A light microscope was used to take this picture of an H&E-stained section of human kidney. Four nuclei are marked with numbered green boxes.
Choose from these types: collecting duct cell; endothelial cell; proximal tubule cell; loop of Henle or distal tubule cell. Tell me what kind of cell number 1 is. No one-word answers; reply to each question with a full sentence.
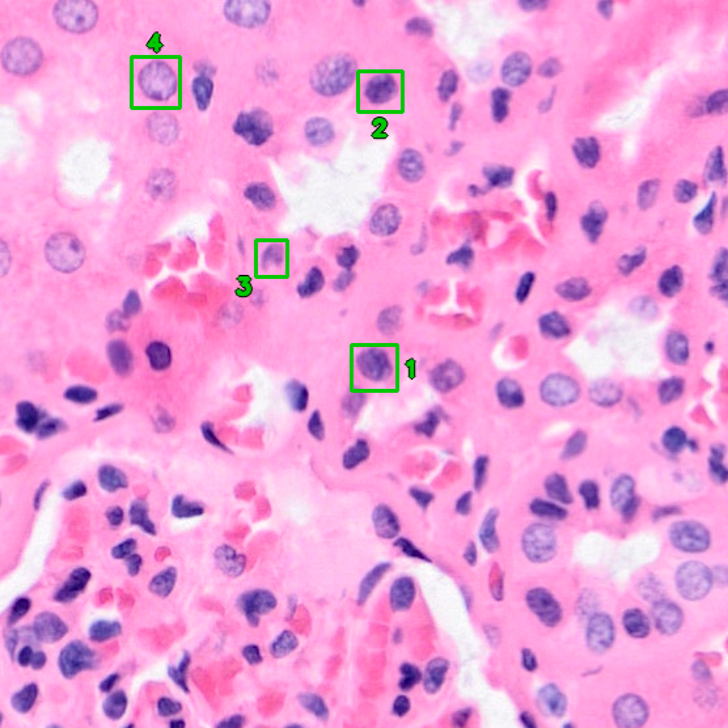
The correct label for cell 1 is a loop of Henle or distal tubule cell.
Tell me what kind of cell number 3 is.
The cell that bears the number 3 is a loop of Henle or distal tubule cell.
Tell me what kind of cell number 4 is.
The cell that is numbered 4 is a proximal tubule cell.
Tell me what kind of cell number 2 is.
The cell bearing label 2 corresponds to a loop of Henle or distal tubule cell.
